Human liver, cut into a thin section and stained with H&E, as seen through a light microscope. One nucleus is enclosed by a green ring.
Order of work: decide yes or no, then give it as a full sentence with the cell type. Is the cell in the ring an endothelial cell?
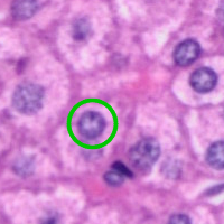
No, on this slide the cell in the ring is a hepatocyte, not an endothelial cell.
